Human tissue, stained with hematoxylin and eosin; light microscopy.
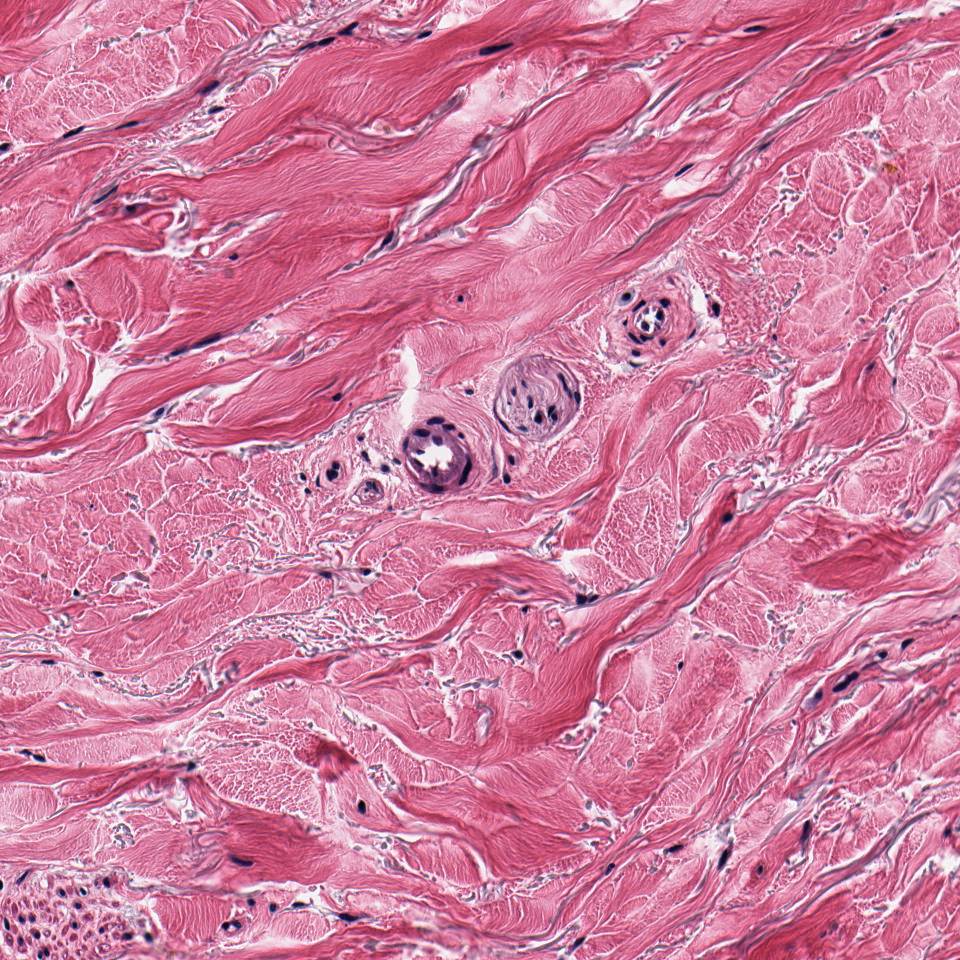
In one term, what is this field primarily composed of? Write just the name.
dermis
